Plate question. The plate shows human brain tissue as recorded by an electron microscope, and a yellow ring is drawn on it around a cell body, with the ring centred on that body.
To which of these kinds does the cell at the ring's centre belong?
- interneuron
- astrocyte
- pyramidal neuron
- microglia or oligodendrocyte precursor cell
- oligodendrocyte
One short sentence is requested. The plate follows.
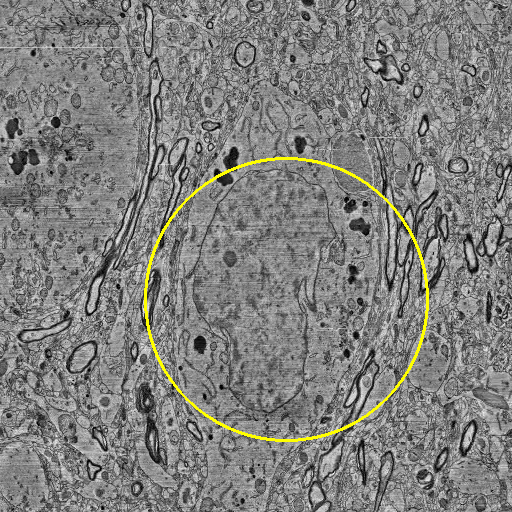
The cell at the ring's centre is a pyramidal neuron.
